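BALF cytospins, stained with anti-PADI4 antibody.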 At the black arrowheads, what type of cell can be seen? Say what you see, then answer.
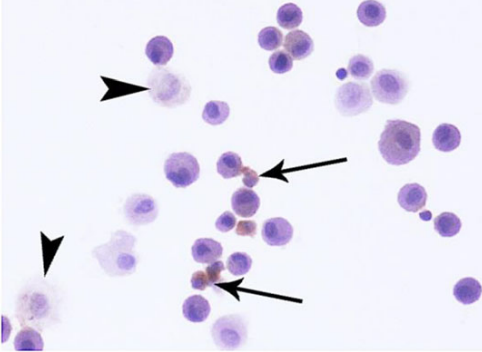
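The marked cells are large, larger than most cells around them. They have abundant pale, faintly stained cytoplasm around a small nucleus. On this evidence: macrophages.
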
